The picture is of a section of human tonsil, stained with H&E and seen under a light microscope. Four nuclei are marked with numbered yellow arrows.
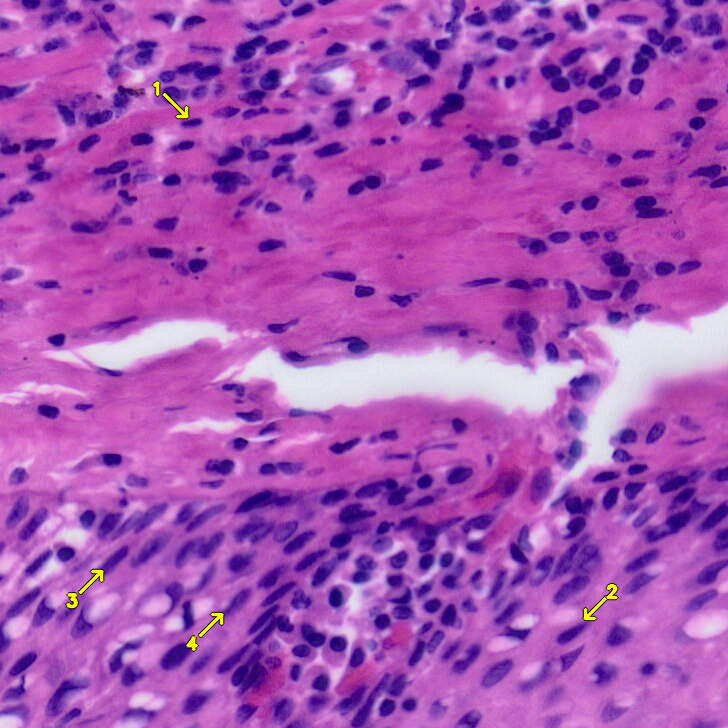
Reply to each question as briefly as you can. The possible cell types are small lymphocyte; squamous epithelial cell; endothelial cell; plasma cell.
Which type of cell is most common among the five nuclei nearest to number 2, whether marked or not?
squamous epithelial cell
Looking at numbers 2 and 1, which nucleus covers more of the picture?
2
